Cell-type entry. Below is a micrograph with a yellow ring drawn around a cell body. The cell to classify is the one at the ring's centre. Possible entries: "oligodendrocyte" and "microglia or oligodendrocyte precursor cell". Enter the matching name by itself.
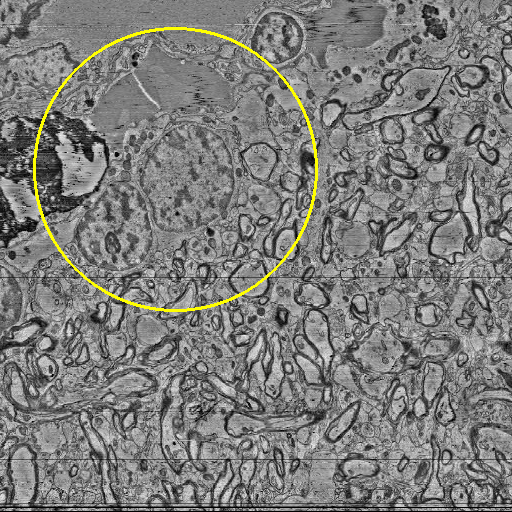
oligodendrocyte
